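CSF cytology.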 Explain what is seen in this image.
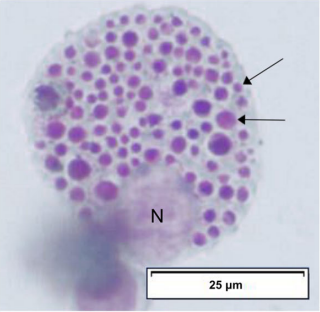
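A pale oval nucleus lies at the lower edge of the cell. A bluish-stained cell overlaps the lower left margin.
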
